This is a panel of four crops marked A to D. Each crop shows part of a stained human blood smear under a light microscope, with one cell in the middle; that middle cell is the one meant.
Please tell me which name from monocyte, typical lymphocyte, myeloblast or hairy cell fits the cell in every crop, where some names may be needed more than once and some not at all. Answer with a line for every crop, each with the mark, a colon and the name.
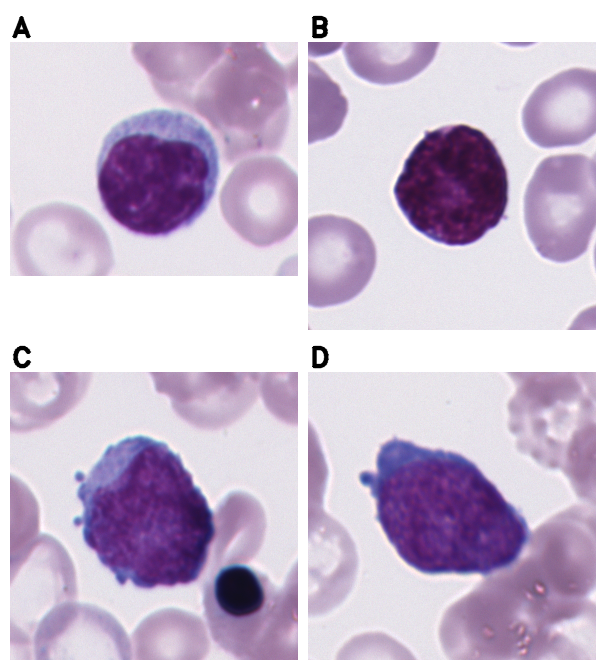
A: typical lymphocyte
B: myeloblast
C: myeloblast
D: myeloblast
